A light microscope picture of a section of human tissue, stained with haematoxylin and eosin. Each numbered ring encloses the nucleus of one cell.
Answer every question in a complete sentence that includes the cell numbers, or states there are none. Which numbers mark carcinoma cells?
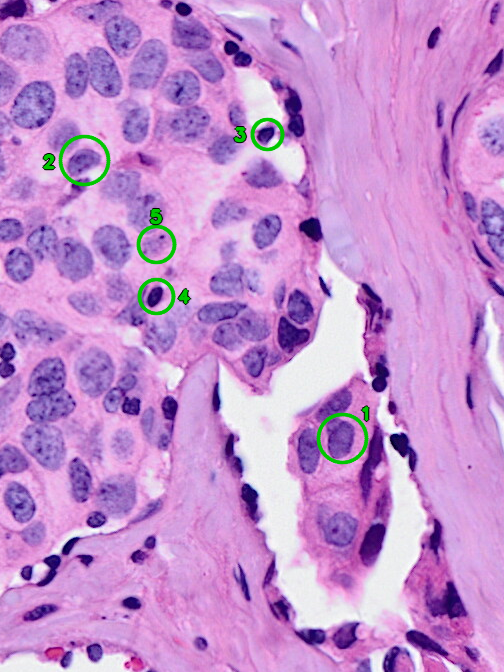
The cells with labels 1, 2 and 5 are carcinoma cells.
